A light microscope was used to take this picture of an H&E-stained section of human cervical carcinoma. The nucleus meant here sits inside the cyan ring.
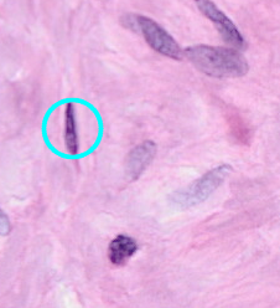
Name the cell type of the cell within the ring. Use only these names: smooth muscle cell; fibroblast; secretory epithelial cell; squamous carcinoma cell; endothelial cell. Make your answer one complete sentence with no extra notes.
Just put down that the cell within the ring is a fibroblast.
